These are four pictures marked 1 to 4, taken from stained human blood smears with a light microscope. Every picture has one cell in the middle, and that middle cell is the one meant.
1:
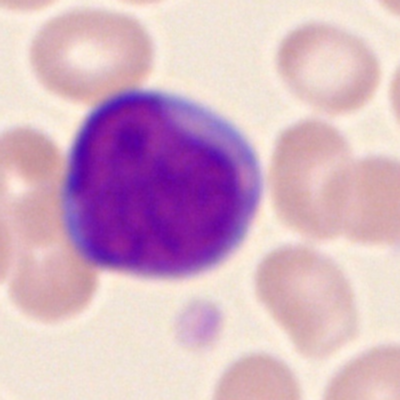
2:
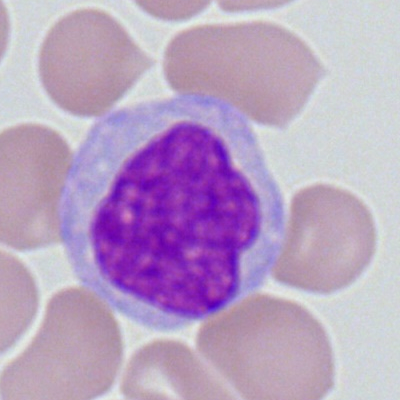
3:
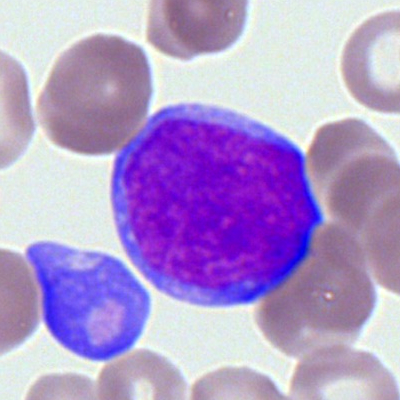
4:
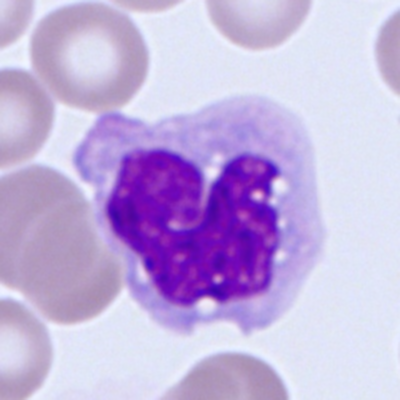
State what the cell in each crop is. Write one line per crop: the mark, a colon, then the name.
1: myeloblast
2: monocyte
3: myeloblast
4: monocyte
